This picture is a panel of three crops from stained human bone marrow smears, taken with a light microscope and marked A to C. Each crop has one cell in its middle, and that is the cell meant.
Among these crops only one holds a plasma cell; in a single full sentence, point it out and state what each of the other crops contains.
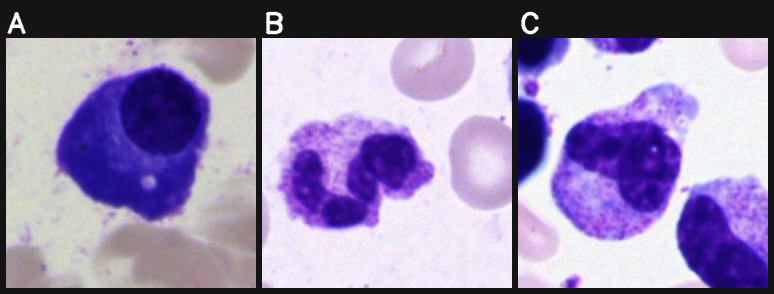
Inside crop A there is a plasma cell, while crop B is a segmented neutrophil and crop C is a metamyelocyte.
